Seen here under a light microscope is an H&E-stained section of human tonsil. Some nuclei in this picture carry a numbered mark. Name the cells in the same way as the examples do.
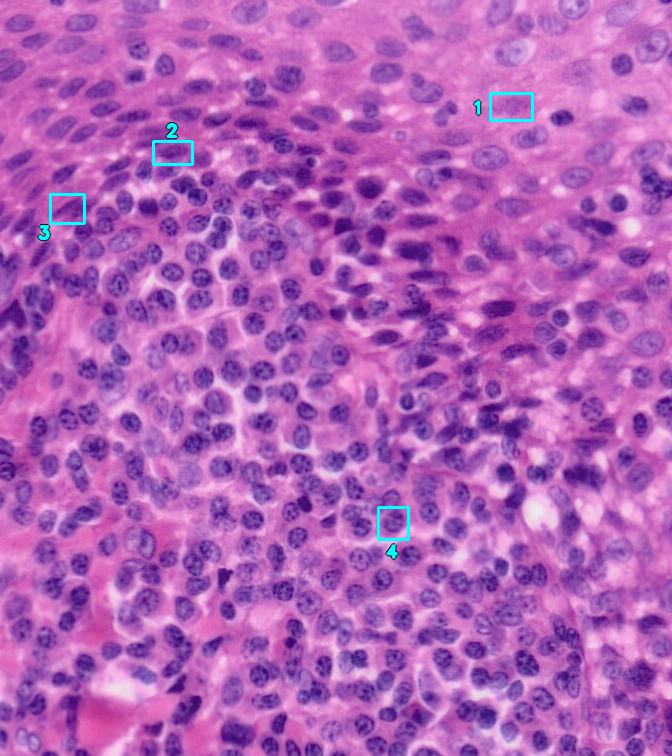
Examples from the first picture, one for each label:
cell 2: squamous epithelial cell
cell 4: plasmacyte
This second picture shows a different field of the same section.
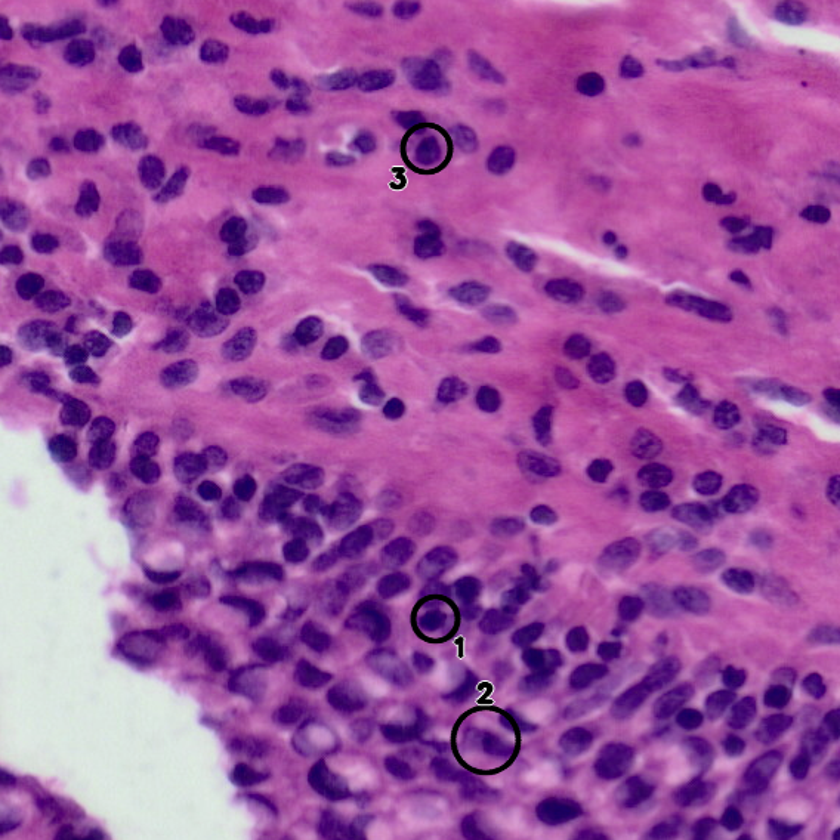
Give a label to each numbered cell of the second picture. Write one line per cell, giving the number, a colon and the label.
1: squamous epithelial cell
2: squamous epithelial cell
3: plasmacyte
